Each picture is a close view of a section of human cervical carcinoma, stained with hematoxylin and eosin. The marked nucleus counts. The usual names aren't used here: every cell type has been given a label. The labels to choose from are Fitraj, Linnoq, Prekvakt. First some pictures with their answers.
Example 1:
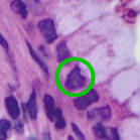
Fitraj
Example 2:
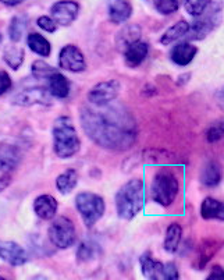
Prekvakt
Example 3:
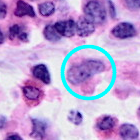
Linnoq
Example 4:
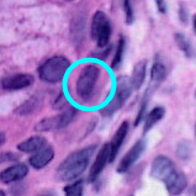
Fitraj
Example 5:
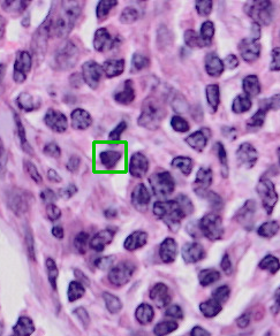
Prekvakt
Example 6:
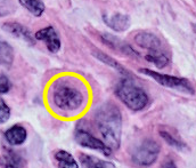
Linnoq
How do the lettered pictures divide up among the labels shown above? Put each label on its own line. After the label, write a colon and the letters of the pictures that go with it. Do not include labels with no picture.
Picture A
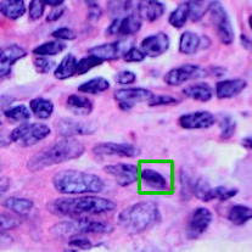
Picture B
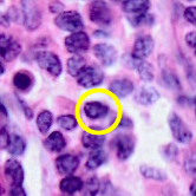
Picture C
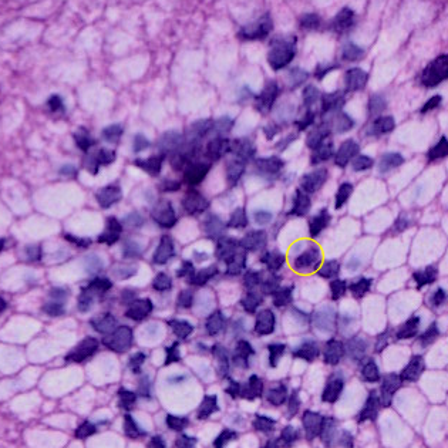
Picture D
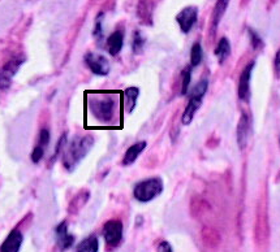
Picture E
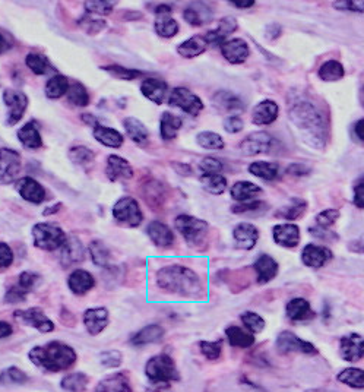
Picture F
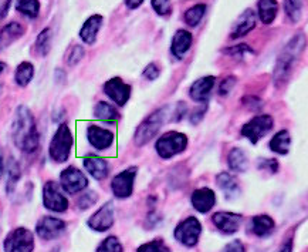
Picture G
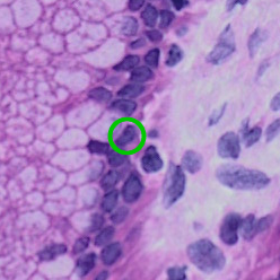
Fitraj: C, G
Linnoq: D, E
Prekvakt: A, B, F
